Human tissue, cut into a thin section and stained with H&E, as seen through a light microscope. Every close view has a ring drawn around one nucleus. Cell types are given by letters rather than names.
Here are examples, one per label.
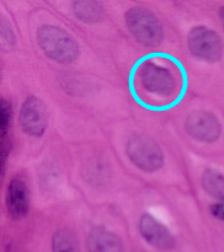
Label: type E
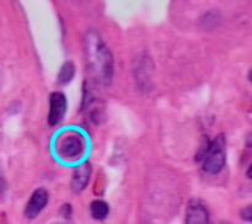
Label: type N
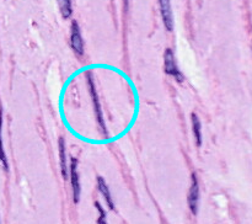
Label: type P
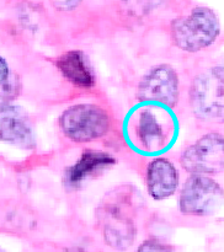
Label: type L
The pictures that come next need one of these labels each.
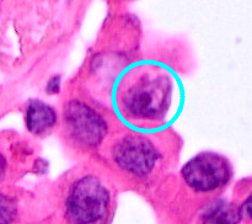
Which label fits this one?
type L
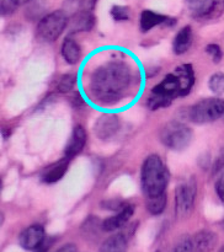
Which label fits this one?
type L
